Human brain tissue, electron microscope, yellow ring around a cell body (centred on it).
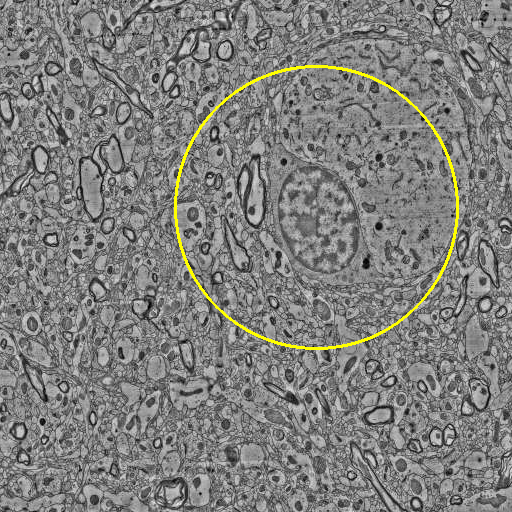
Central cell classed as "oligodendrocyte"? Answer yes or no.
yes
